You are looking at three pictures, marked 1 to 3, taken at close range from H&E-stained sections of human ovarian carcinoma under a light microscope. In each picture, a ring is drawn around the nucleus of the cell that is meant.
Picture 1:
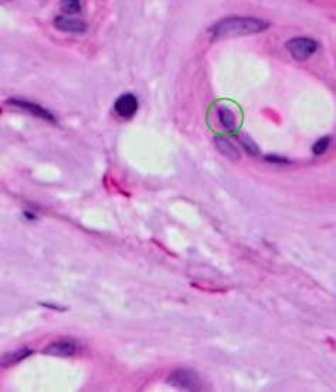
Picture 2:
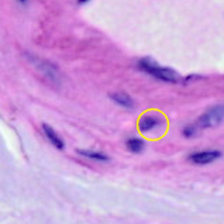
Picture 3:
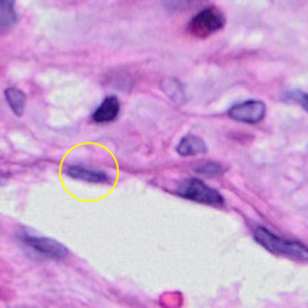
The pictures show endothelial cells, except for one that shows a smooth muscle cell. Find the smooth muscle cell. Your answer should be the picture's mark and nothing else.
2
